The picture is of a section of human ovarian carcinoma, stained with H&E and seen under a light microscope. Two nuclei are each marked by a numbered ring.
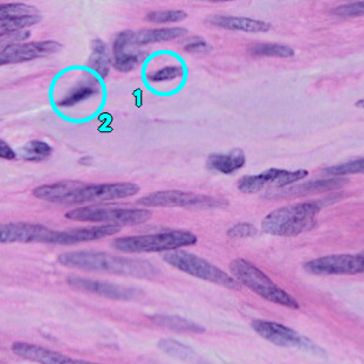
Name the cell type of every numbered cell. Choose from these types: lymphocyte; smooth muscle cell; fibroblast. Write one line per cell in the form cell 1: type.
cell 1: smooth muscle cell
cell 2: fibroblast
